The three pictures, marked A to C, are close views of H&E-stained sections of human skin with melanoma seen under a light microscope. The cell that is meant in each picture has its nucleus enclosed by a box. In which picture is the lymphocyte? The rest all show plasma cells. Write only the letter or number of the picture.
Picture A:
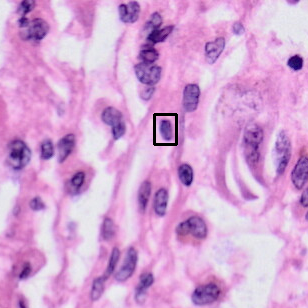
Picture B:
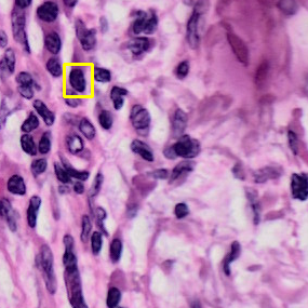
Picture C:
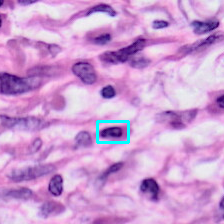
A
